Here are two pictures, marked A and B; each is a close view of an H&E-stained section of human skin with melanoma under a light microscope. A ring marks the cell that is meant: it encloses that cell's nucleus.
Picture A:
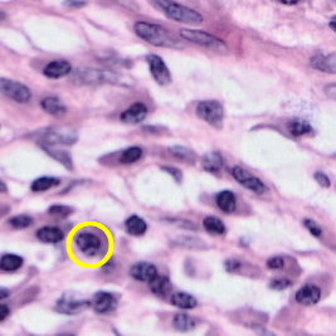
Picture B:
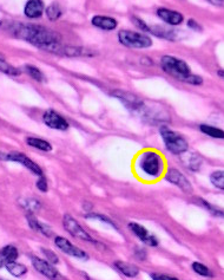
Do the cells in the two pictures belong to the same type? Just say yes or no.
yes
